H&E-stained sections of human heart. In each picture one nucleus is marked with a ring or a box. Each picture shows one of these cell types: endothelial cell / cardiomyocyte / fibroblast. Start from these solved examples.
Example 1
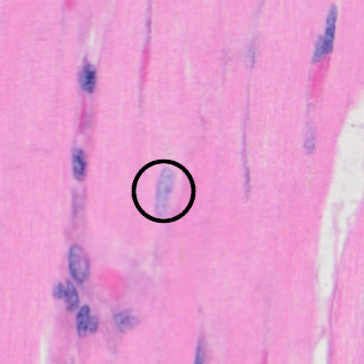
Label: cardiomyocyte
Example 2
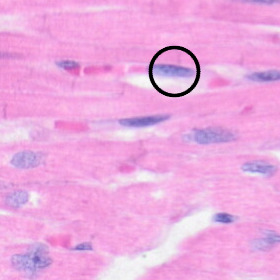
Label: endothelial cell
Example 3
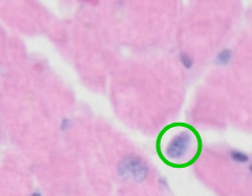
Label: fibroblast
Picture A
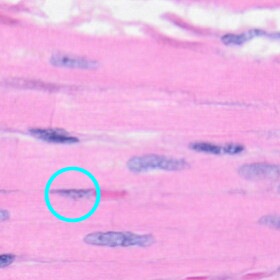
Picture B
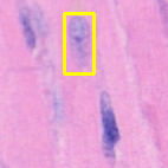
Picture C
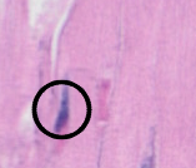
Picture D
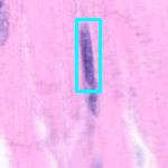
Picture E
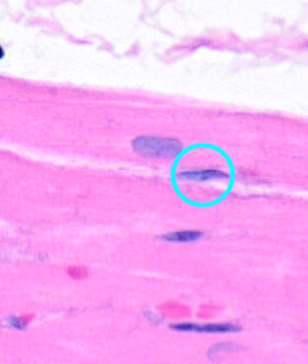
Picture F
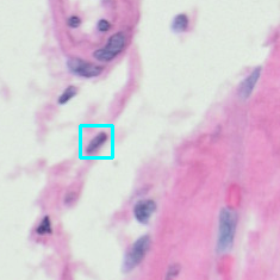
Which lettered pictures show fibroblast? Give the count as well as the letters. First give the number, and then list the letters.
1, namely F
